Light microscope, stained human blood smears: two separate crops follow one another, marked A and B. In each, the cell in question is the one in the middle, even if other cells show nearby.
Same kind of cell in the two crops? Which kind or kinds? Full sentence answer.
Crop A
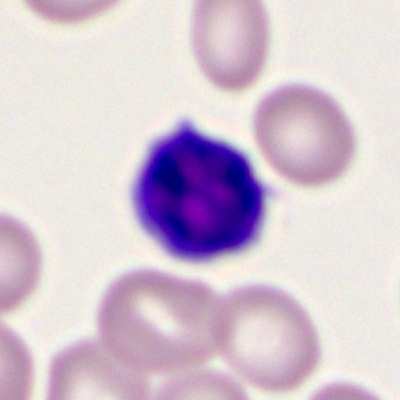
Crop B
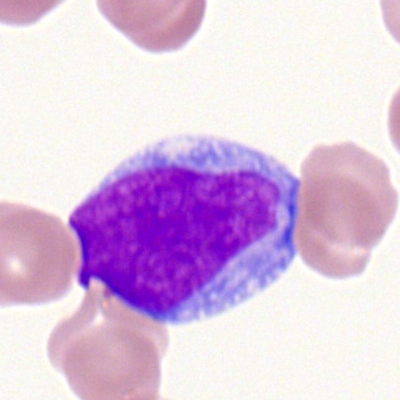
No, as for crop A, it shows a lymphocyte, and crop B shows a myeloblast.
